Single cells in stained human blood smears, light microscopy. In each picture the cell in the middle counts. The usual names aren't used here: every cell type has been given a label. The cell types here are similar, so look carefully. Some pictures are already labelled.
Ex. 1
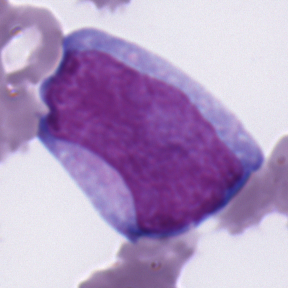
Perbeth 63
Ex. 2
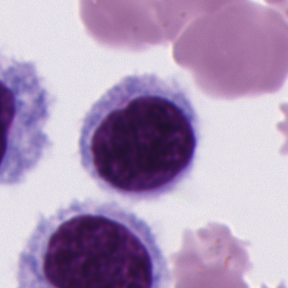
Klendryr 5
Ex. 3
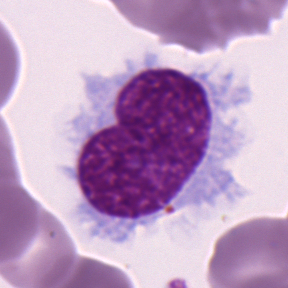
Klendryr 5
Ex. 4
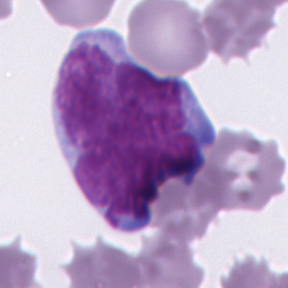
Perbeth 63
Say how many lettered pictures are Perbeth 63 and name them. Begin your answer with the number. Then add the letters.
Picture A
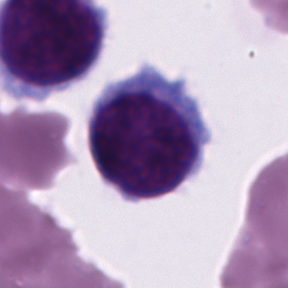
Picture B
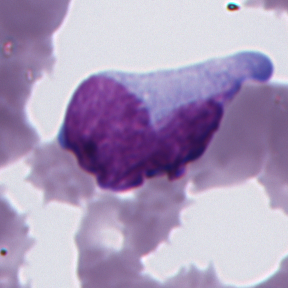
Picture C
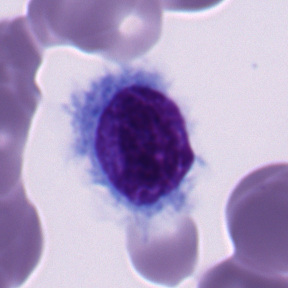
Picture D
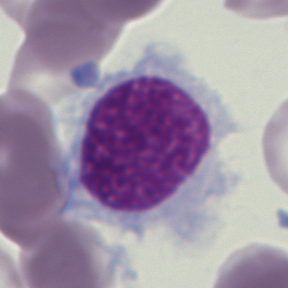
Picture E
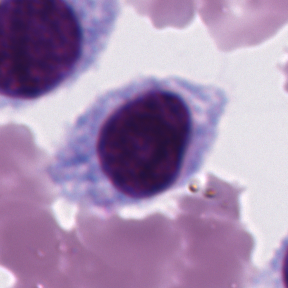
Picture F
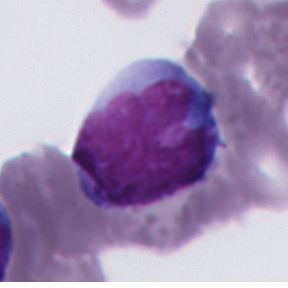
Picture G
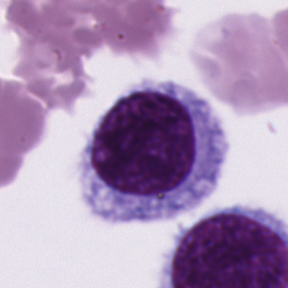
Count: 2 (B, F)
